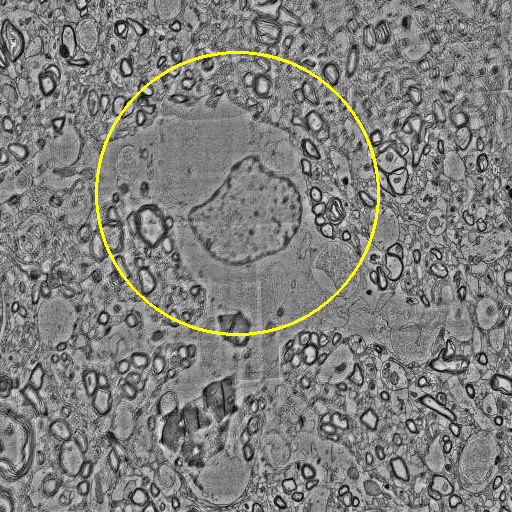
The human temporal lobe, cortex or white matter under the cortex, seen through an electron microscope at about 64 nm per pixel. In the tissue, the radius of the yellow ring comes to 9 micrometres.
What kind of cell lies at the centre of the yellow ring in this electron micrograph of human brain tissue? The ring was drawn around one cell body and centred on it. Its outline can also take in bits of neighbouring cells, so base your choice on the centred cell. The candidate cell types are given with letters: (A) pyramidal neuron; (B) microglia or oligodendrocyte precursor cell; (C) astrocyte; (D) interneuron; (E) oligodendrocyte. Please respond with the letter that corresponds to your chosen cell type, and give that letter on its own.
C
